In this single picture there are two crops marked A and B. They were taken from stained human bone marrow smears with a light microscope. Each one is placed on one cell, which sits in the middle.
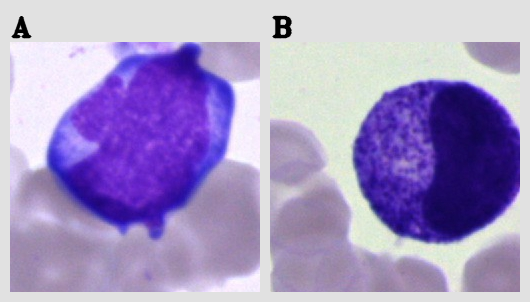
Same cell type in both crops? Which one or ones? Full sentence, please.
No, crop B shows a promyelocyte, and crop A shows a blast.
